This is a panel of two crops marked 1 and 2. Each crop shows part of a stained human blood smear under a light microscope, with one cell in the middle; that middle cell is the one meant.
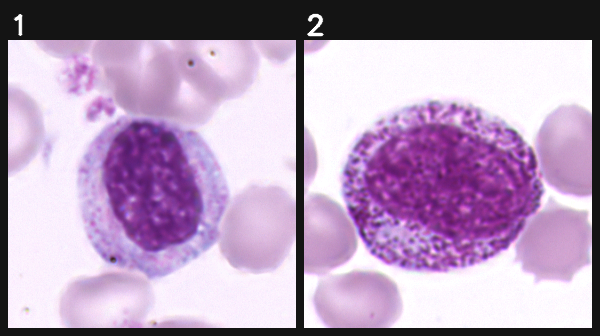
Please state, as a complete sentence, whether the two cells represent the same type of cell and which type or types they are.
Yes, the first and the second crop both show myelocytes.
